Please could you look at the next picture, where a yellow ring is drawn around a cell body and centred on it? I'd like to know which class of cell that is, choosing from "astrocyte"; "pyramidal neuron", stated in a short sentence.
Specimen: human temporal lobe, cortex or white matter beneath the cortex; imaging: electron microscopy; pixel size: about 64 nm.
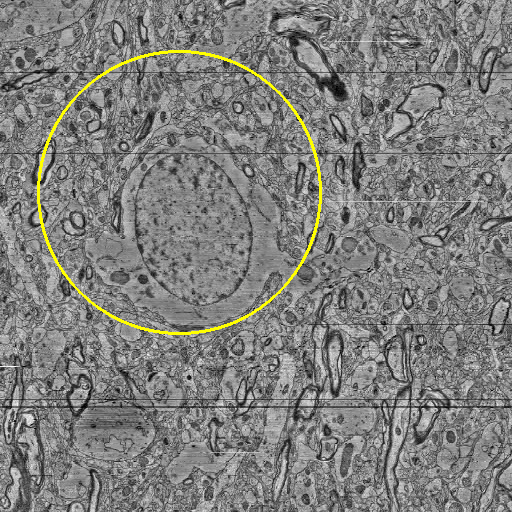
The ring's centre lies on an astrocyte.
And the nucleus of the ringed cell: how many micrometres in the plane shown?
Approximately 10 micrometres long and 7 micrometres wide, in this plane.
